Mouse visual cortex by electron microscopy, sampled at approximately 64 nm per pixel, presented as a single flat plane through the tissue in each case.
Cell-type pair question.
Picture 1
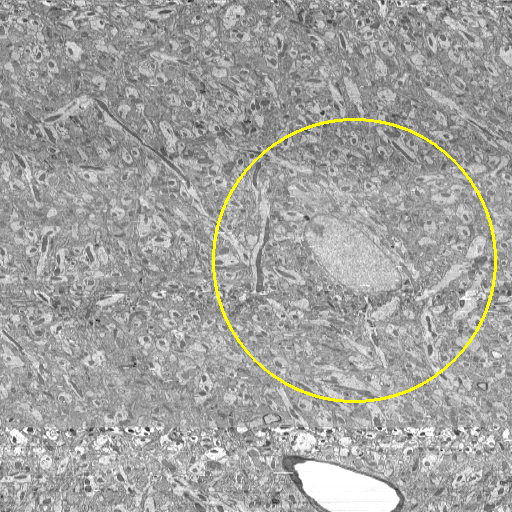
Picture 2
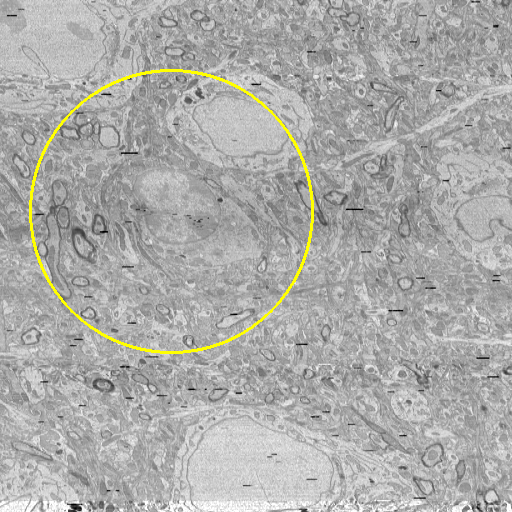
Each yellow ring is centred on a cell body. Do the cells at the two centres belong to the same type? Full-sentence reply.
No, the two cells belong to two types.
